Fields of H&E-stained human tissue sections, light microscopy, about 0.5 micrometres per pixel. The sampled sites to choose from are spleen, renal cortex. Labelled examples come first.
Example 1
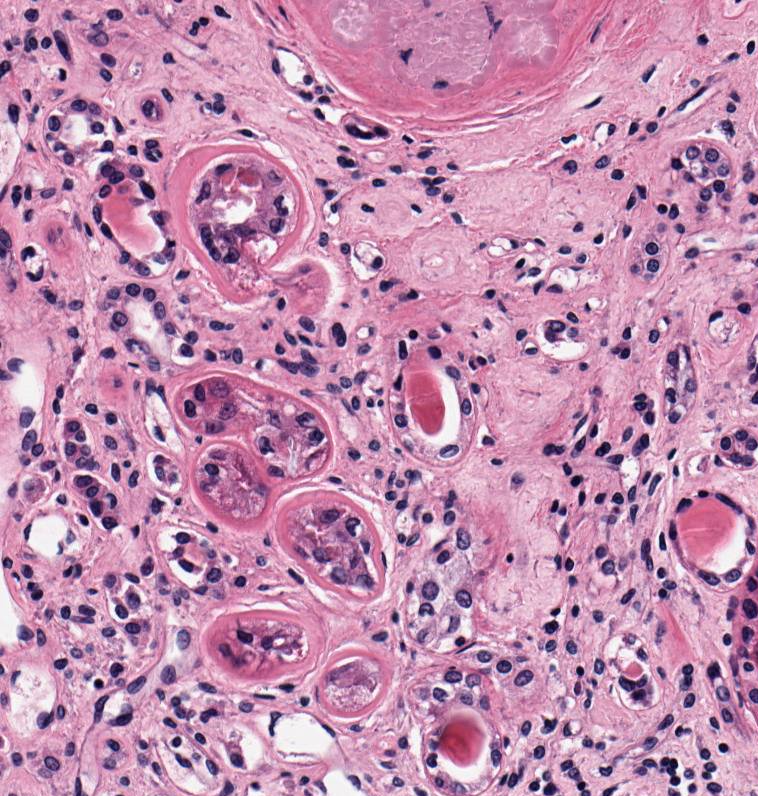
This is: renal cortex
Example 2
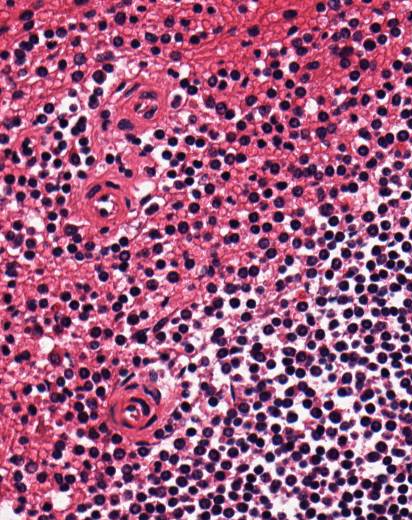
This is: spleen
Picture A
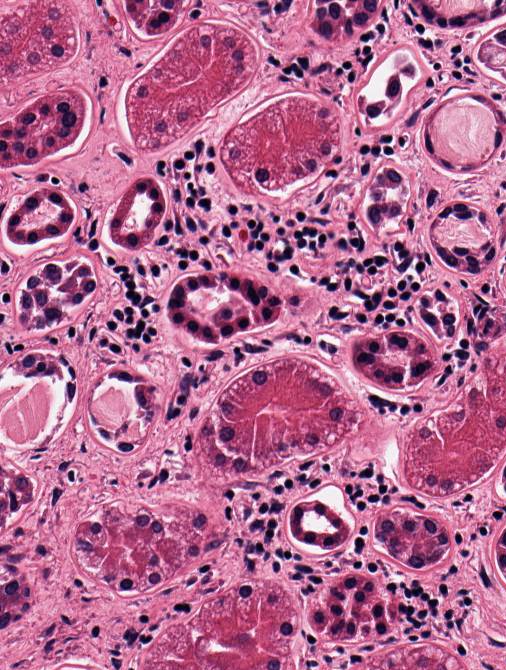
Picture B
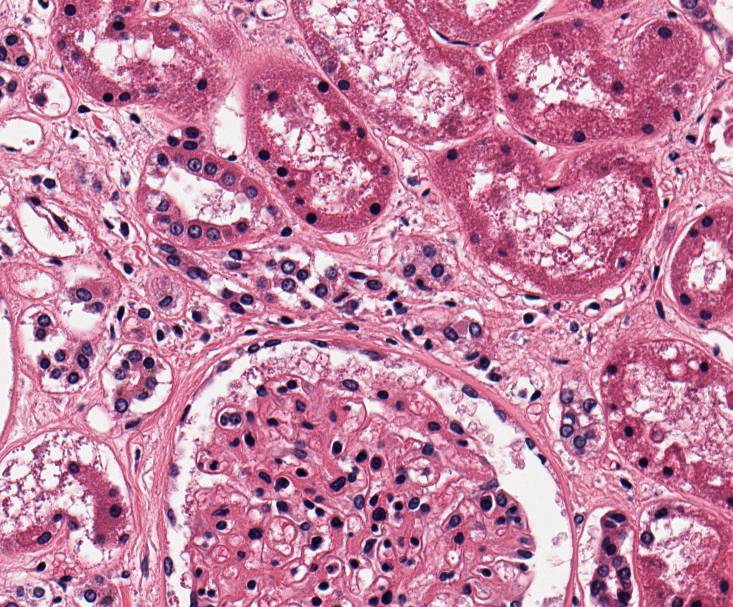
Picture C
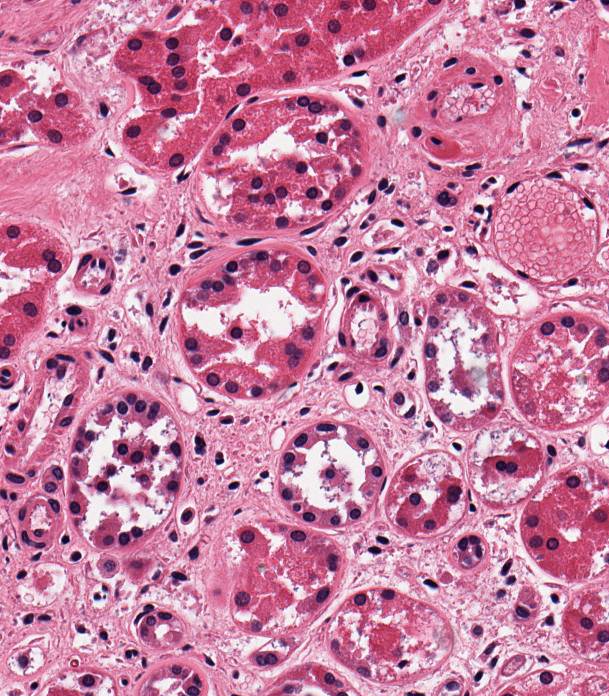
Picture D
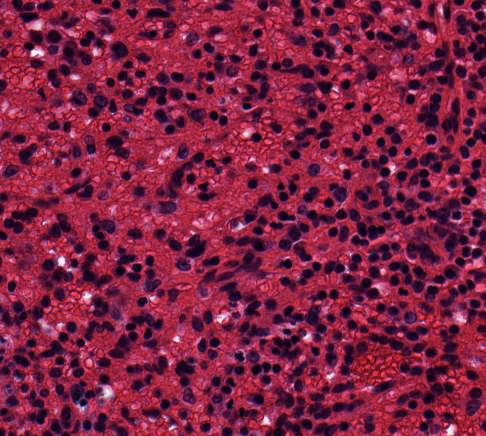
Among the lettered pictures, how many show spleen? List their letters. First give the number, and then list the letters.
1: D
